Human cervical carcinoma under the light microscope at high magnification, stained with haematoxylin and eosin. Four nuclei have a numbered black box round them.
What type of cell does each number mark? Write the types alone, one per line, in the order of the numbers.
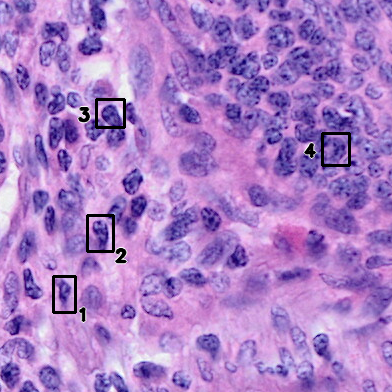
lymphocyte
lymphocyte
lymphocyte
squamous carcinoma cell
